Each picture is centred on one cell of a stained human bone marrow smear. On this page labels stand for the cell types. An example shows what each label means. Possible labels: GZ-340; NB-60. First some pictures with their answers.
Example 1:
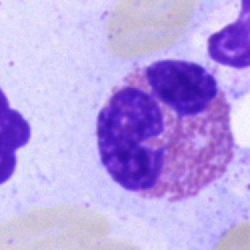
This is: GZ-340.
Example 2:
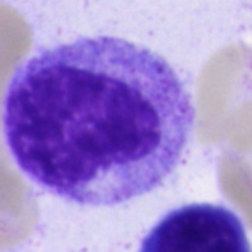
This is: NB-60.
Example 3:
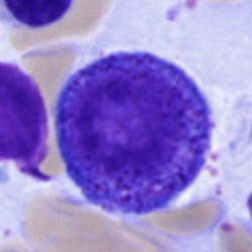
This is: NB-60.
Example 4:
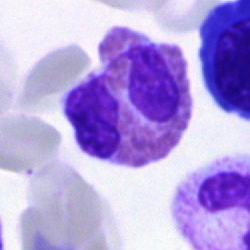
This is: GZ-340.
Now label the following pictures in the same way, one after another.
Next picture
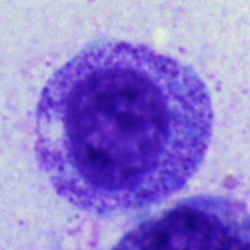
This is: NB-60.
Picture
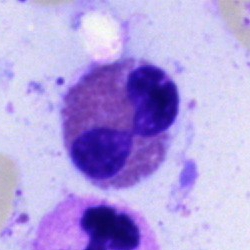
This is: GZ-340.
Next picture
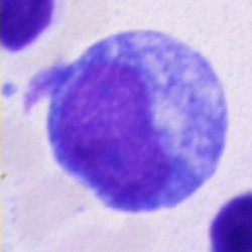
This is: NB-60.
